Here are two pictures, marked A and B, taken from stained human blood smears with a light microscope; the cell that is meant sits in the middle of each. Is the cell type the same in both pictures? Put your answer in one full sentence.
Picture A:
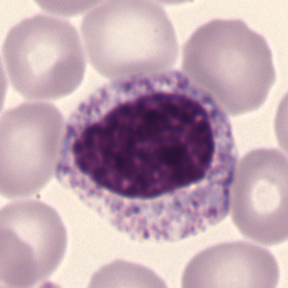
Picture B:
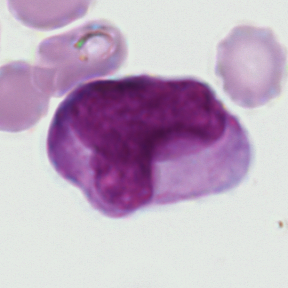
No, they differ: the cell is a myelocyte in picture A and an atypical promyelocyte in picture B.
